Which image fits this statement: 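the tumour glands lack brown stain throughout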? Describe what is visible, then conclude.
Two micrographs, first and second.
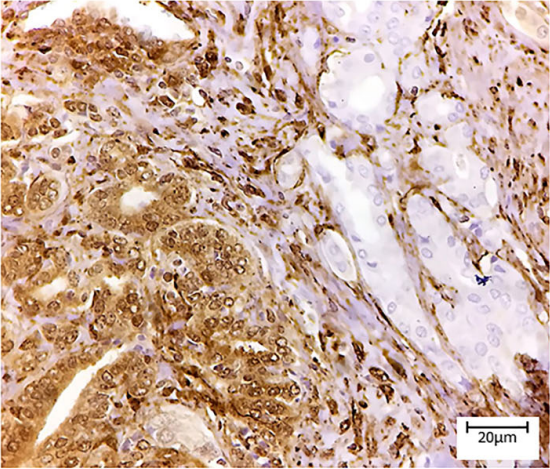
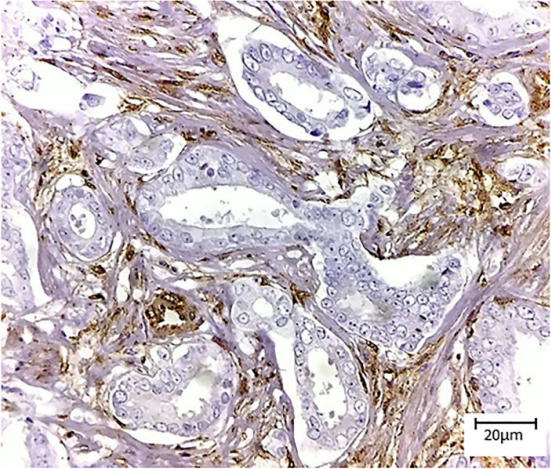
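The second image. First image: tumour cells on the left are strongly brown while glands on the right are pale. Second image: all tumour glands are pale with blue nuclei, brown stain only in the stroma.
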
